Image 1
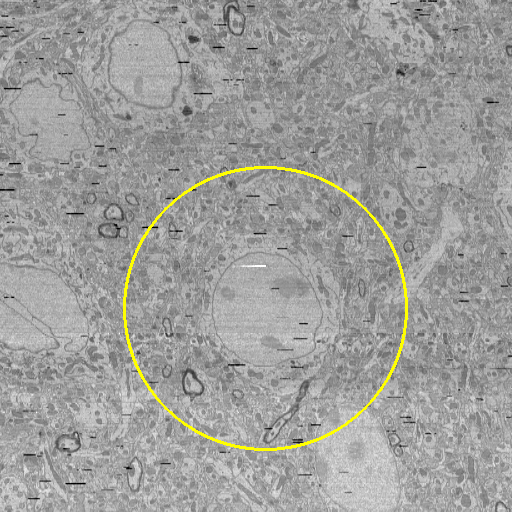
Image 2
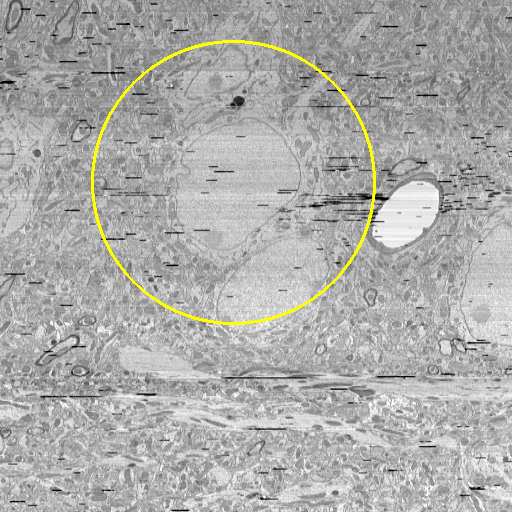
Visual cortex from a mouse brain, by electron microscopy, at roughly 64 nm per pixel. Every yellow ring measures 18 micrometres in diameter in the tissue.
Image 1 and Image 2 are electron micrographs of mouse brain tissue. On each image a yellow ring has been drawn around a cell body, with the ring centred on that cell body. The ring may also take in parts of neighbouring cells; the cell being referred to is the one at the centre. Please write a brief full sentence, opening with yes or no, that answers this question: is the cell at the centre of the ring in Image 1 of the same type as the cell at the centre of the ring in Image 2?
Yes, both cells are of the same type.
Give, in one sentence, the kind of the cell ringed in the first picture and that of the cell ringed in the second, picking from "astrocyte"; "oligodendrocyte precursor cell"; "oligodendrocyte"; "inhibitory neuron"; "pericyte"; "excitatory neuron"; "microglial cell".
In each picture the ringed cell is an excitatory neuron.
